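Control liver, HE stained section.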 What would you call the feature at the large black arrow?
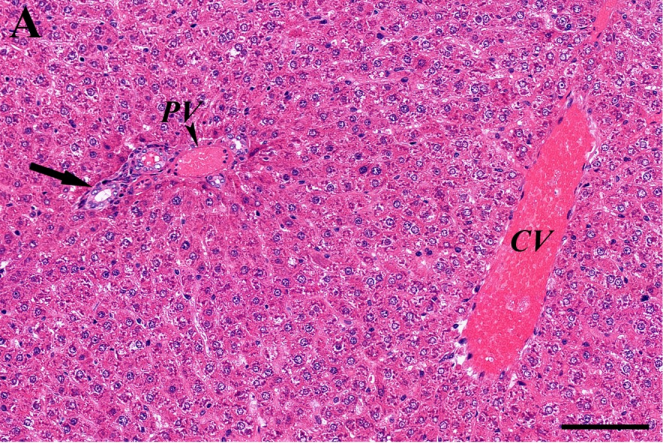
Bile ducts.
